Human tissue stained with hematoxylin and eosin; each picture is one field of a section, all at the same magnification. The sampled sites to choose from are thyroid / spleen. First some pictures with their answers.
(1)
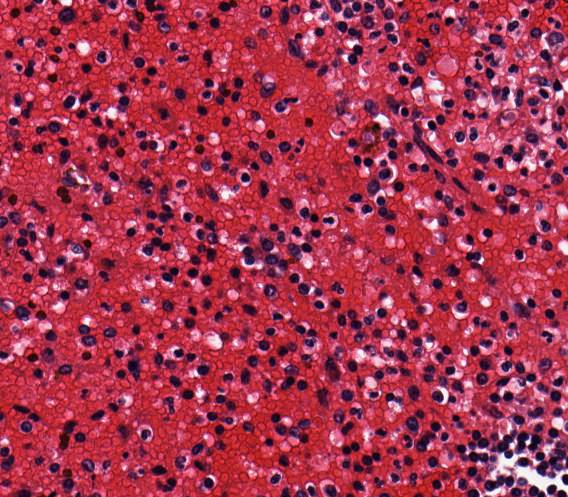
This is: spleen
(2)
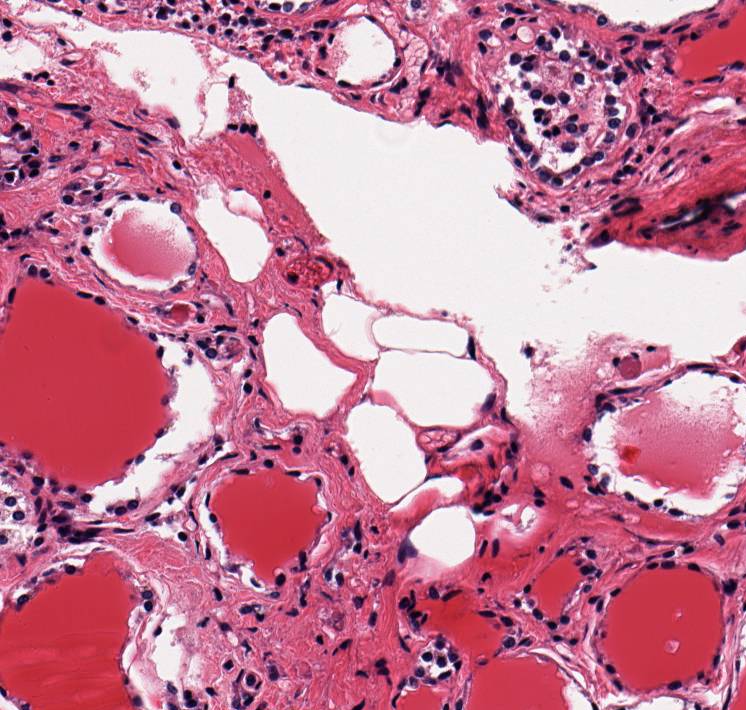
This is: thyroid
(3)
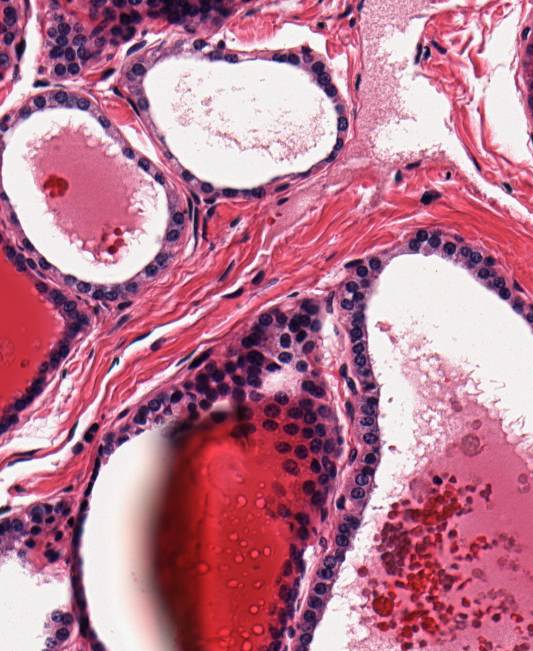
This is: thyroid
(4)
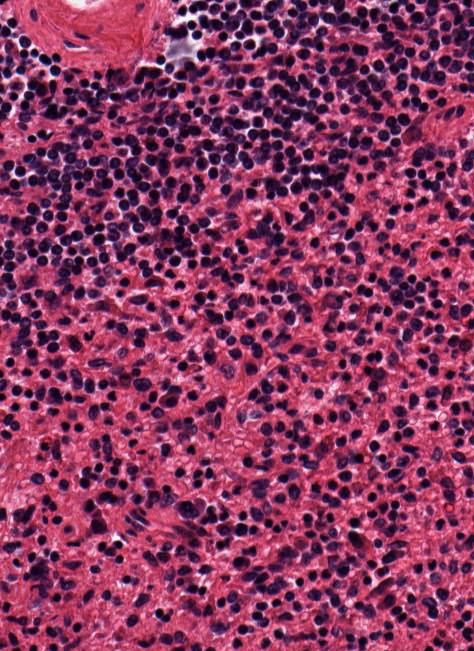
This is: spleen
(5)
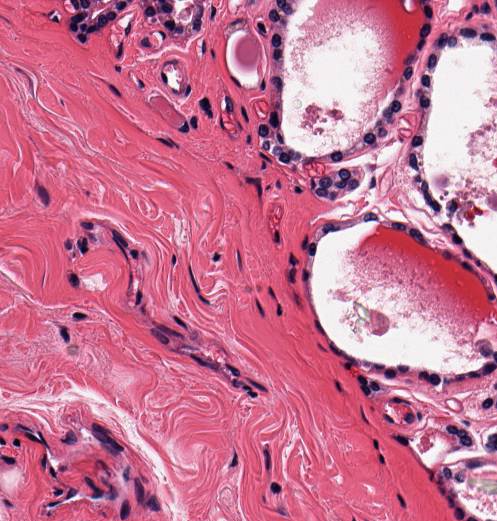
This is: thyroid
